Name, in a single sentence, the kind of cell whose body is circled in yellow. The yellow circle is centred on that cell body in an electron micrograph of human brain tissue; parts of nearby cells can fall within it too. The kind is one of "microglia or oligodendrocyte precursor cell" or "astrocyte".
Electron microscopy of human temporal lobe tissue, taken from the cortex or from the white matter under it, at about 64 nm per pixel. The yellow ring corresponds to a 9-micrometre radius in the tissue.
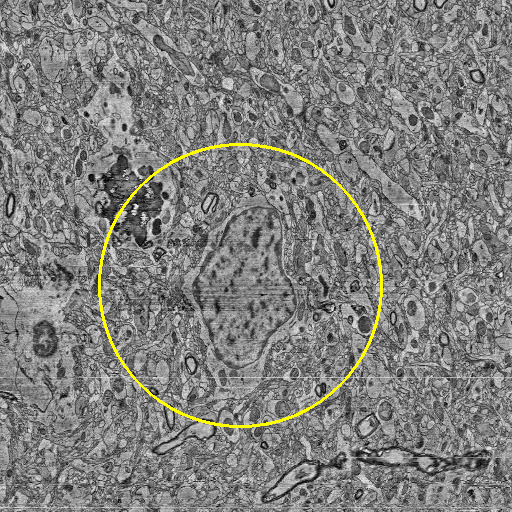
The circled cell body belongs to a microglial cell or oligodendrocyte precursor cell.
